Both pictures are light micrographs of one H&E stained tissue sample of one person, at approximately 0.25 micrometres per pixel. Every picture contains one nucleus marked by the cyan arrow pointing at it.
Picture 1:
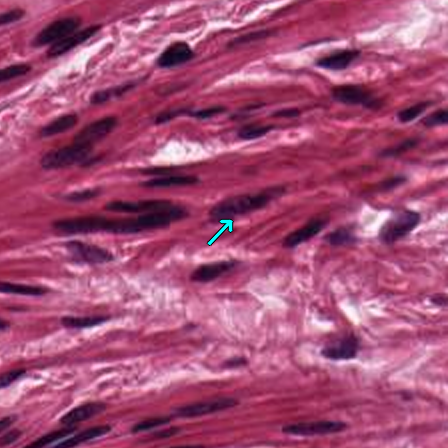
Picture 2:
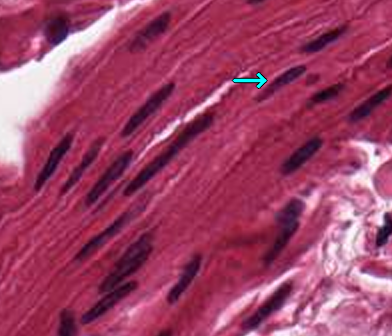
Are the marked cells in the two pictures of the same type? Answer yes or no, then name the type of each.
Yes, both are smooth muscle cells.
